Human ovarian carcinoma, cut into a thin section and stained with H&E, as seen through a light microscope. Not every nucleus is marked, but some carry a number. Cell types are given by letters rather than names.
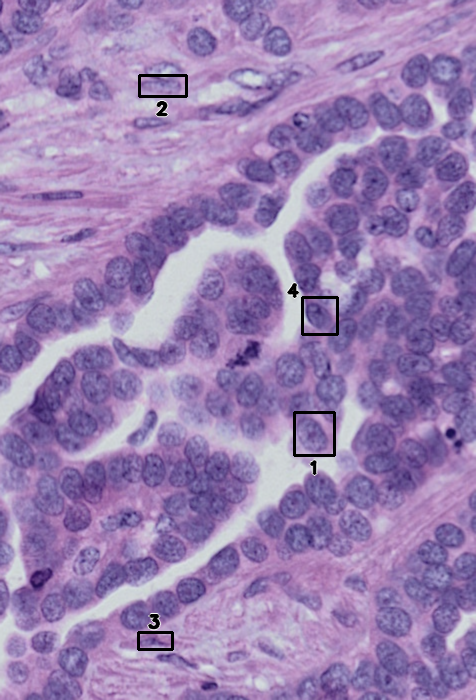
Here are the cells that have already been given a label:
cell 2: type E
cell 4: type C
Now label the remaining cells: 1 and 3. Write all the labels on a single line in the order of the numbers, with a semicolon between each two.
type C; type E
